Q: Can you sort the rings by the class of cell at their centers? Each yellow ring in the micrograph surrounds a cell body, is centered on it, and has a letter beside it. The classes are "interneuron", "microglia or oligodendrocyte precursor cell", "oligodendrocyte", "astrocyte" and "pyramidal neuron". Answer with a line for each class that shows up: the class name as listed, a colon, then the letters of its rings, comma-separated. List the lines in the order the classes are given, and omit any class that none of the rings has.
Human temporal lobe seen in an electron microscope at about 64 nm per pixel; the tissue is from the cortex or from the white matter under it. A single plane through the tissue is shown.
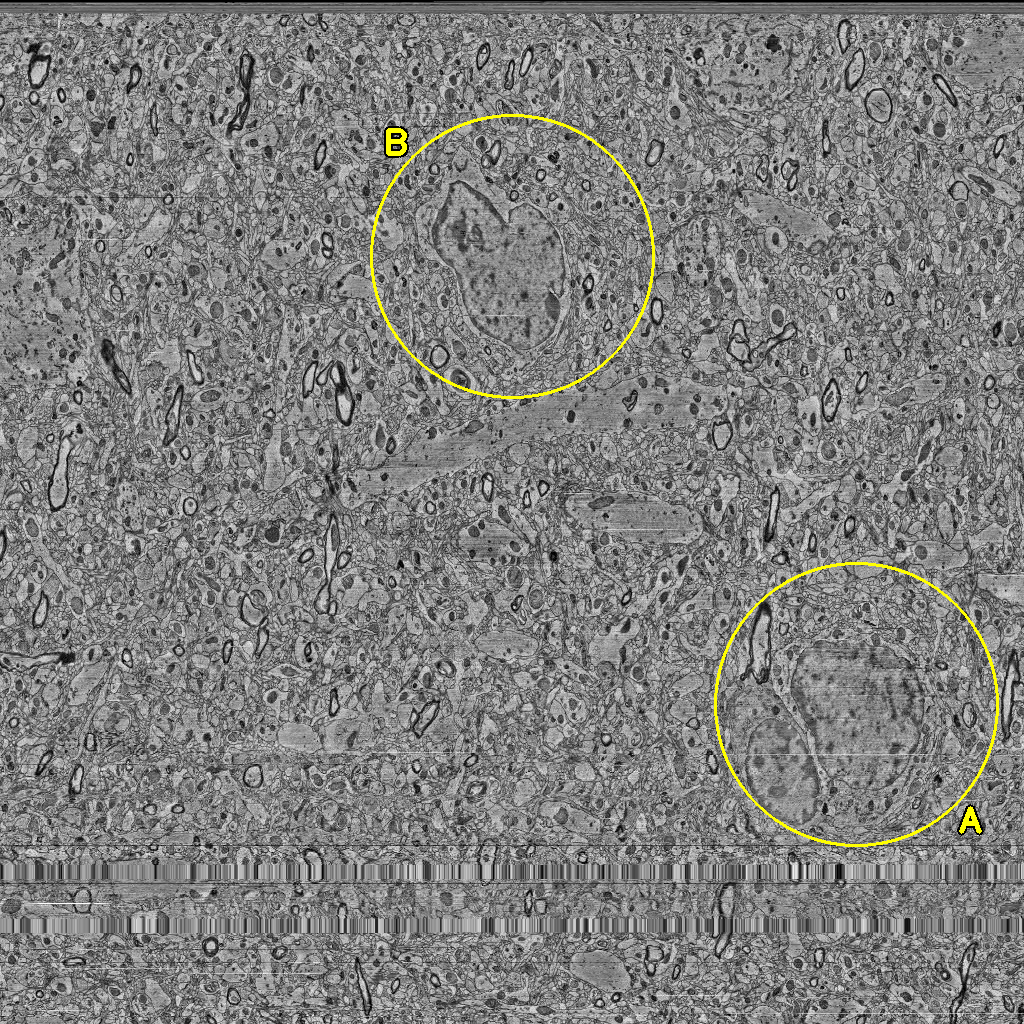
interneuron: A
microglia or oligodendrocyte precursor cell: B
